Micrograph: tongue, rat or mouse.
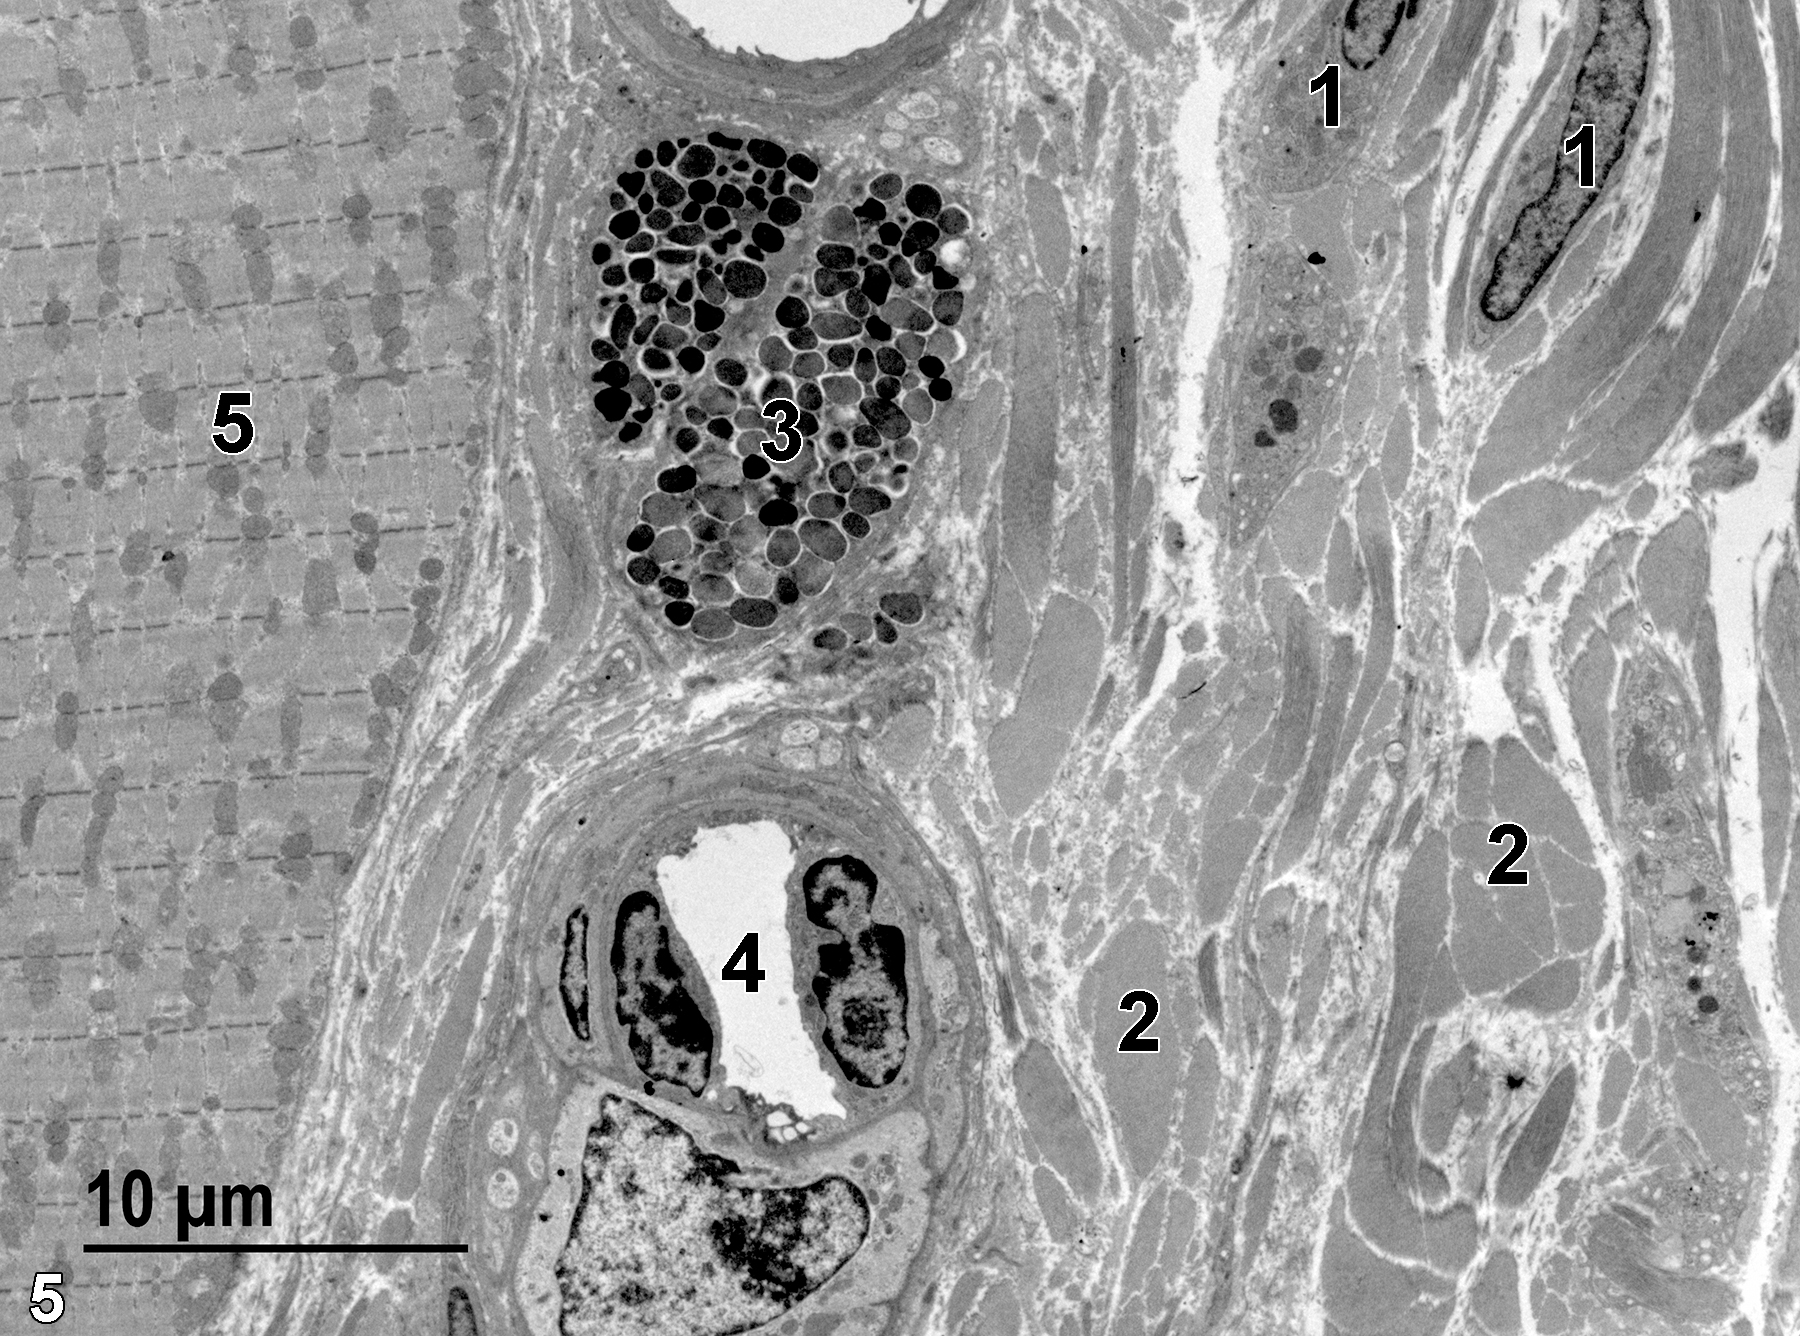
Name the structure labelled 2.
Bundles of collagen fibers.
